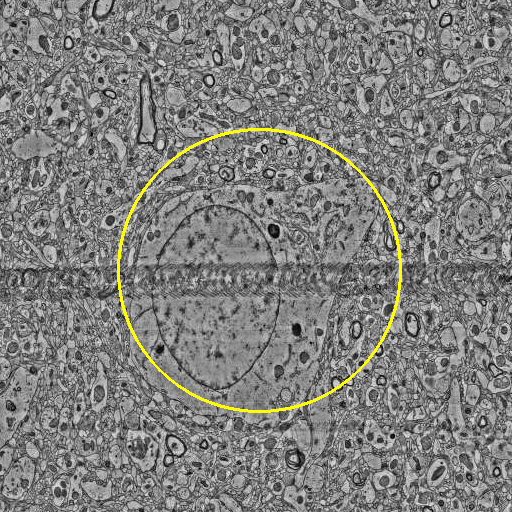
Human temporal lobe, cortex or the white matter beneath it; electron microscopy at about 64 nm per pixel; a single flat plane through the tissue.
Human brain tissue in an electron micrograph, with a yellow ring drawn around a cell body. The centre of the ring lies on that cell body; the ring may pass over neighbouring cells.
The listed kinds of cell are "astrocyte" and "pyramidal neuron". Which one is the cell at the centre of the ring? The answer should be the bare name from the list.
pyramidal neuron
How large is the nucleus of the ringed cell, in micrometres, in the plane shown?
About 12 by 8 micrometers, in this plane.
